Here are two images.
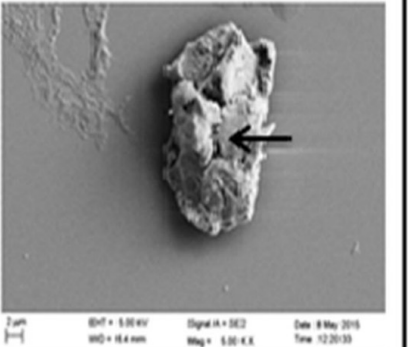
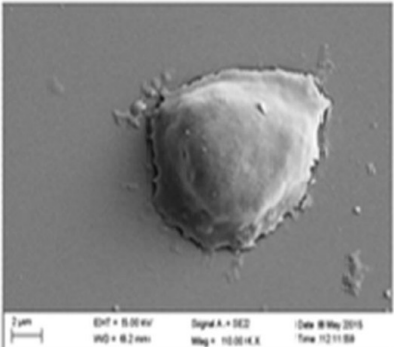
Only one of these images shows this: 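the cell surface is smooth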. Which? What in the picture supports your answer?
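First image: the cell surface is rough, fissured and broken into lumps. Second image: the cell is dome-shaped with an even, smooth surface. So: the second image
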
